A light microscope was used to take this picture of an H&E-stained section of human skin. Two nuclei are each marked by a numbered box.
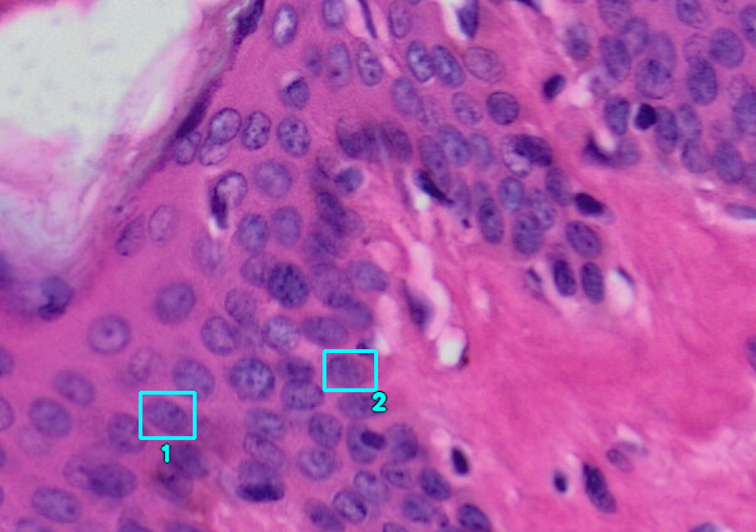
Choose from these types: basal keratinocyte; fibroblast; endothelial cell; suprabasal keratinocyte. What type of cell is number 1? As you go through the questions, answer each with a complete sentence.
Identified by the number 1, the cell is a suprabasal keratinocyte.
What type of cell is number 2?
As for number 2, that cell is a basal keratinocyte.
